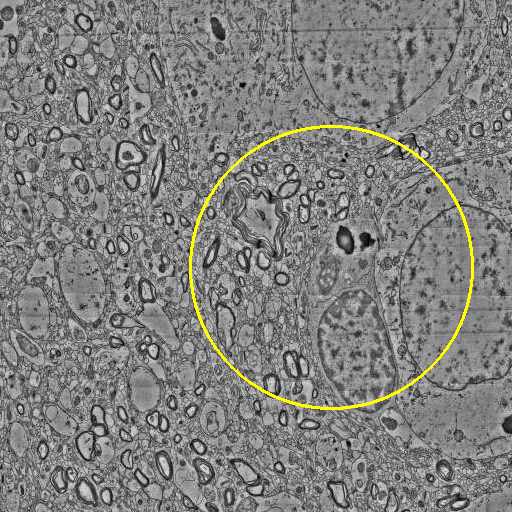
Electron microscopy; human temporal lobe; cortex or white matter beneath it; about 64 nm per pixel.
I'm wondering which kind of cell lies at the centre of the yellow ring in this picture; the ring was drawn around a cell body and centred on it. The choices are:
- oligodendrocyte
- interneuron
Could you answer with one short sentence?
At the centre of the ring lies an oligodendrocyte.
